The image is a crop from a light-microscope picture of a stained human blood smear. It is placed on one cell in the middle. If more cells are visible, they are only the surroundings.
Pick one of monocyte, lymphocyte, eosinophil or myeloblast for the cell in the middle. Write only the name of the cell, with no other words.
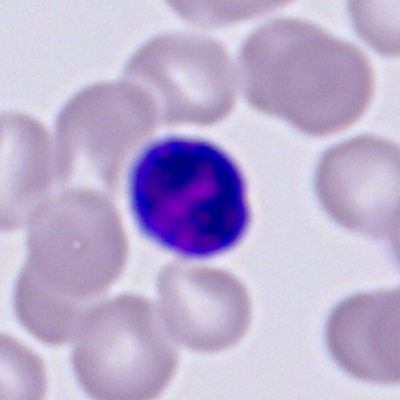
lymphocyte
